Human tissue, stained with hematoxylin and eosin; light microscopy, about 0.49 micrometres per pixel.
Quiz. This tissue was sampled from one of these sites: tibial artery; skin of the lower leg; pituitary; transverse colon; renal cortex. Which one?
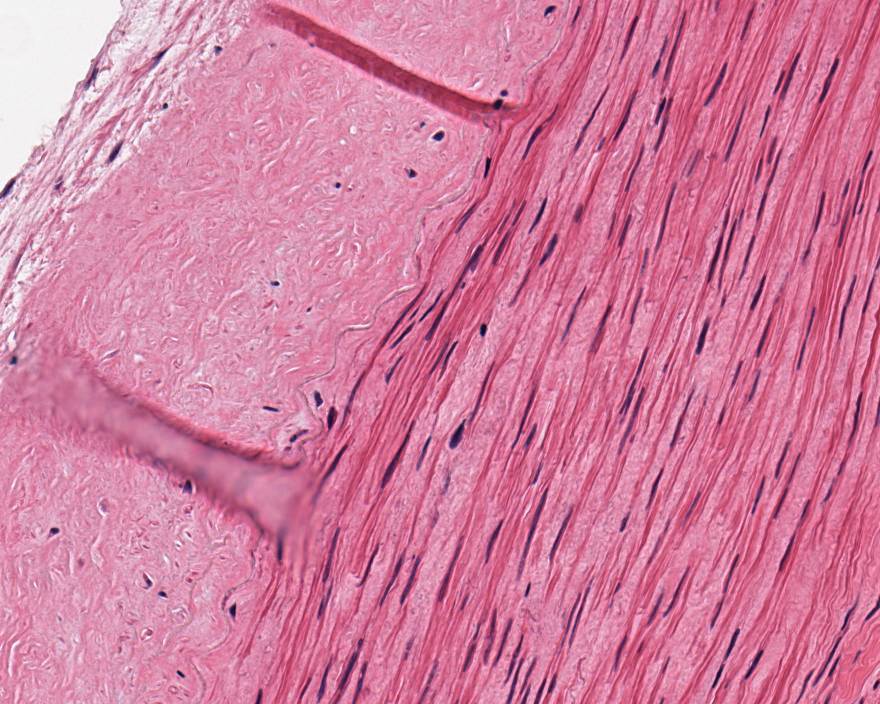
tibial artery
